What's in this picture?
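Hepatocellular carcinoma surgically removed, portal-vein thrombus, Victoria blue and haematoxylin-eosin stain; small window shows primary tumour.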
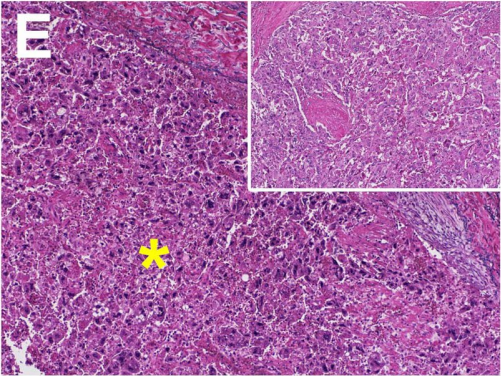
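A dense sheet of large polygonal cells fills most of the field, with enlarged, dark, irregular nuclei that vary greatly in size and shape. Their cytoplasm is pink and in places pale or vacuolated, with cells loosening from one another as signs of degeneration. A band of fibrous vessel wall with bluish fibres borders the cell mass at the upper right.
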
